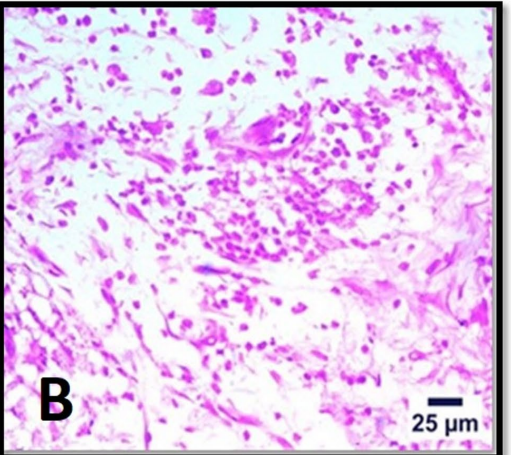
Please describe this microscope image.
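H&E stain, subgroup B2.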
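Loose connective tissue with a dense focal infiltration of inflammatory cells. Numerous small, round, darkly stained nuclei cluster in the upper middle of the field, among scattered spindle-shaped cells with elongated nuclei. The surrounding matrix is pale and loosely fibrillar, stained light pink.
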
